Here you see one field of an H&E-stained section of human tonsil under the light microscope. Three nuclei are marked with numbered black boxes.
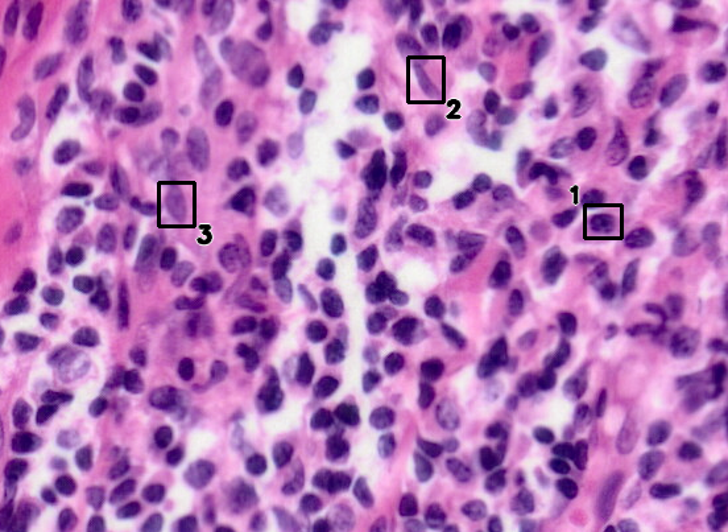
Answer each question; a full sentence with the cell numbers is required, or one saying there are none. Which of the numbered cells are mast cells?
By cell type, the numbered cells include no mast cells.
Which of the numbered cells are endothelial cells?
The cells marked 2 and 3 in the section are endothelial cells.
